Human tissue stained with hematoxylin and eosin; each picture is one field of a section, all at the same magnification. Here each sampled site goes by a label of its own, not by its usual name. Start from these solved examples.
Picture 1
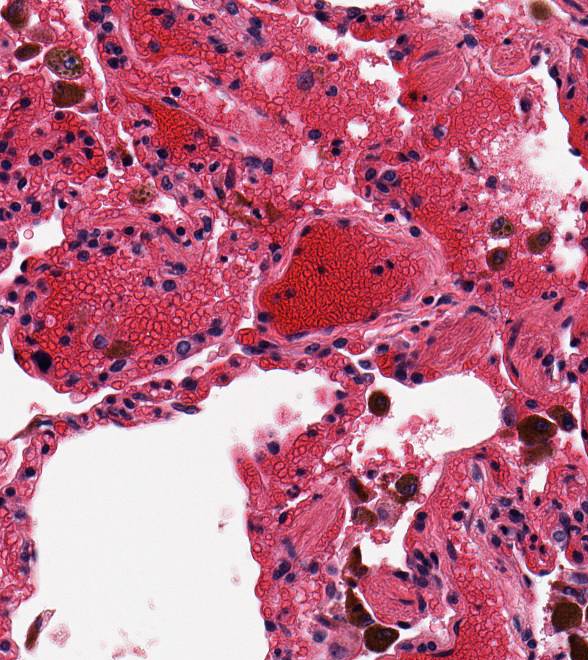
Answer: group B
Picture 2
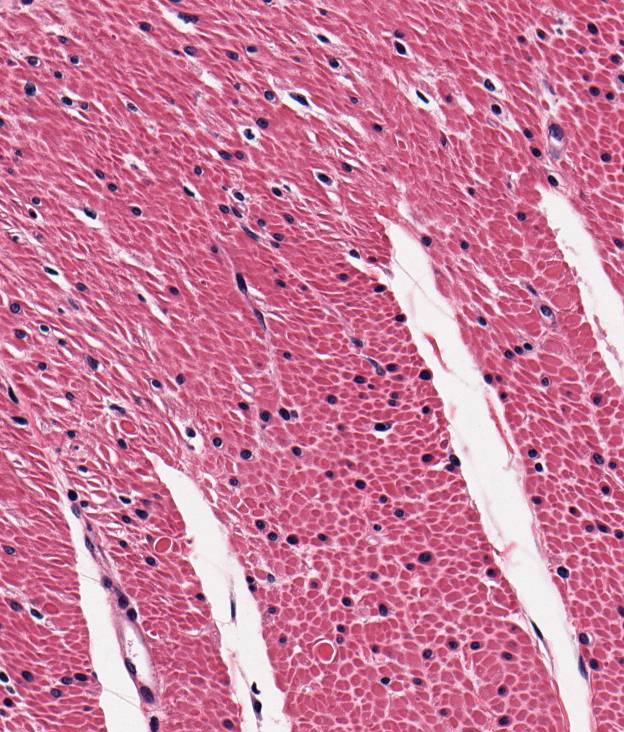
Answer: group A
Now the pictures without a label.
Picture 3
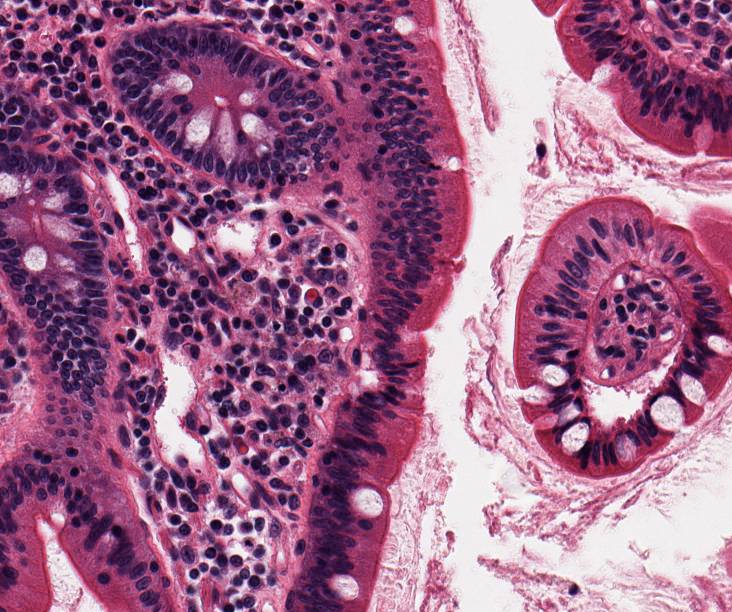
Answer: group A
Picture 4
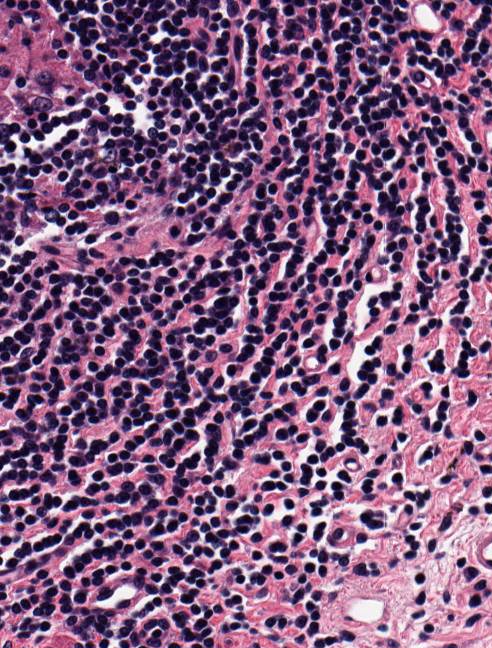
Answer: group A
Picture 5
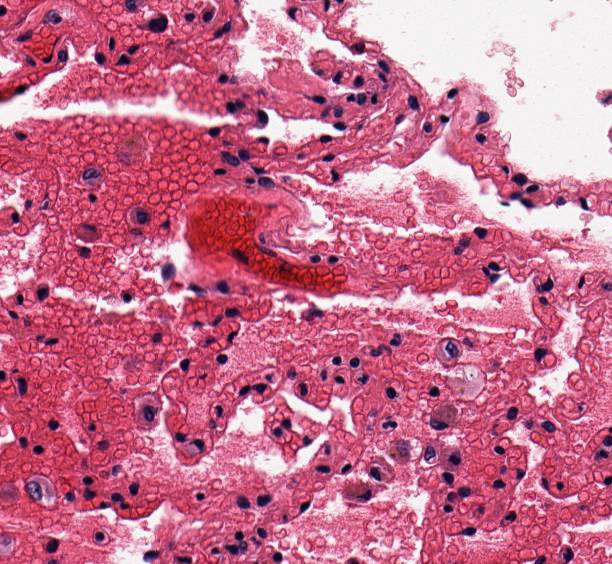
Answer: group B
